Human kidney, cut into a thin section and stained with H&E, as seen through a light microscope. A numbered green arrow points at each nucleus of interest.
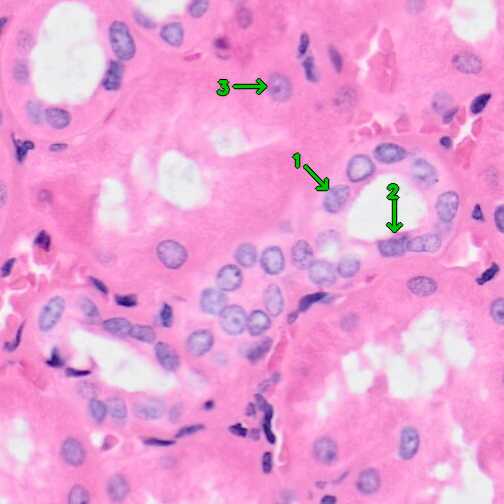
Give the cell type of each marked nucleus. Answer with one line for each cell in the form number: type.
1: collecting duct cell
2: collecting duct cell
3: proximal tubule cell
